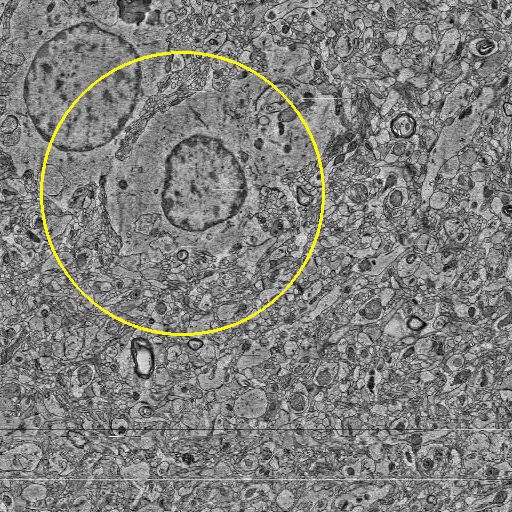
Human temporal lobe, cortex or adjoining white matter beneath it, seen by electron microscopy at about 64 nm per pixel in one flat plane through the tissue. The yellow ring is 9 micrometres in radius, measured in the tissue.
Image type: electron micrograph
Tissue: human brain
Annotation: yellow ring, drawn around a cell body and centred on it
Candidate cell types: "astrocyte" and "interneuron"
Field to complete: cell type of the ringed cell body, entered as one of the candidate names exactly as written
astrocyte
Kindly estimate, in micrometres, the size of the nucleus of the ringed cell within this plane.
In this plane the nucleus is about 6 micrometres by 5.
